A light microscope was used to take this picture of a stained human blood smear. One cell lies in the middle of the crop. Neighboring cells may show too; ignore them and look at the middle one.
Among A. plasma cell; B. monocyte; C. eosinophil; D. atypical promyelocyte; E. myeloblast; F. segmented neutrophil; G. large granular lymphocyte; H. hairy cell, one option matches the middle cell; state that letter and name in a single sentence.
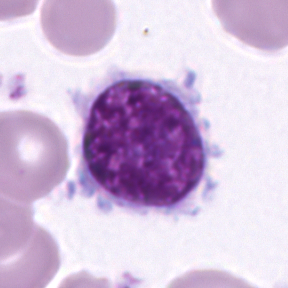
The expected answer is option A, the central cell being a plasma cell.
